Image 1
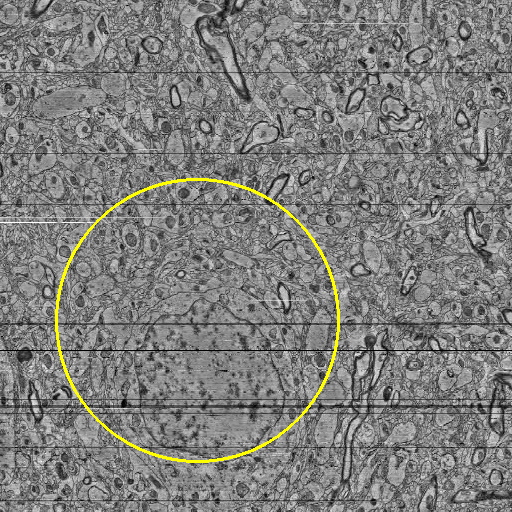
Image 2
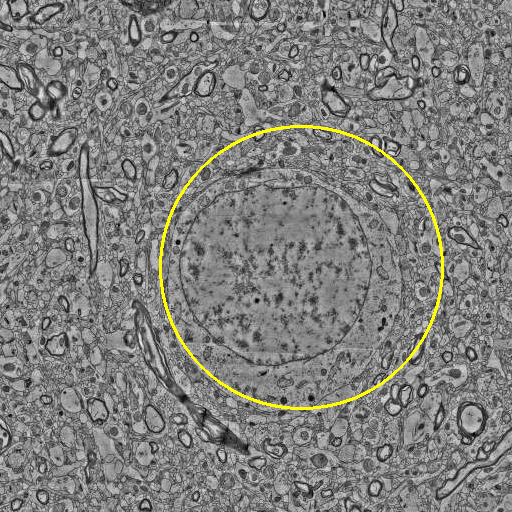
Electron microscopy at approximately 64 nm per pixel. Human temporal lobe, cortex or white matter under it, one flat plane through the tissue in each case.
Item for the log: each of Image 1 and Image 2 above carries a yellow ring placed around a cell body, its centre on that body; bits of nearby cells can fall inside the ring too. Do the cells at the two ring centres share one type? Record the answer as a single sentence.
Yes, the two cells at the ring centres in Image 1 and Image 2 share one type.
